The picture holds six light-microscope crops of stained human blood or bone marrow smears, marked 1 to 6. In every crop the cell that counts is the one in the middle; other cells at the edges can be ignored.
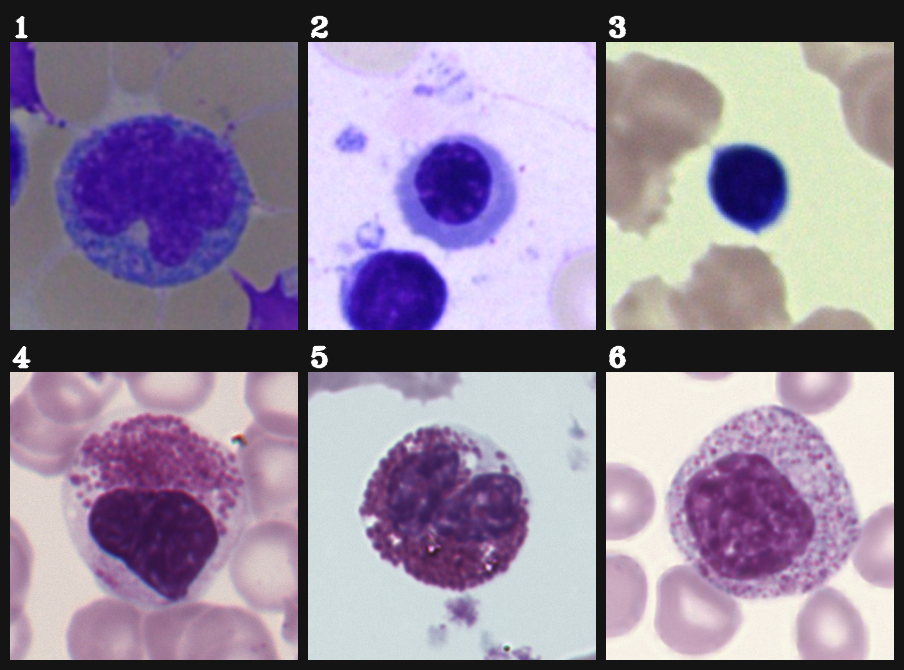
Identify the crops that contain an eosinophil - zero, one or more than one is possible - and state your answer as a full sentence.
Crops 4 and 5 hold eosinophils in the centre of the field.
